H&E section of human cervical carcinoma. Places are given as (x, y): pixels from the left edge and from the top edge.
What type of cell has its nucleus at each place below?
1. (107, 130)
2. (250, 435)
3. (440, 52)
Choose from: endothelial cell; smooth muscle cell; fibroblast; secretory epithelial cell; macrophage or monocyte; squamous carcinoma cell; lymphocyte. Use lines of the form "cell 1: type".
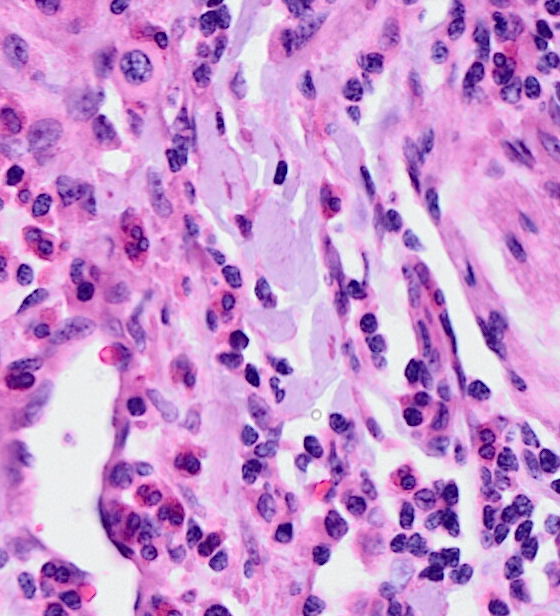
cell 1: endothelial cell
cell 2: lymphocyte
cell 3: lymphocyte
